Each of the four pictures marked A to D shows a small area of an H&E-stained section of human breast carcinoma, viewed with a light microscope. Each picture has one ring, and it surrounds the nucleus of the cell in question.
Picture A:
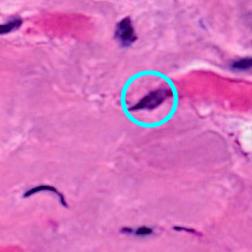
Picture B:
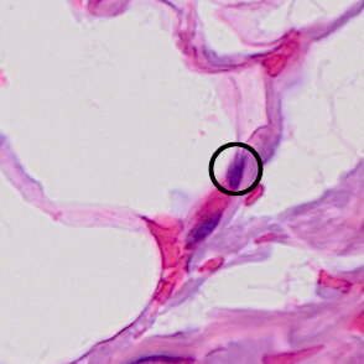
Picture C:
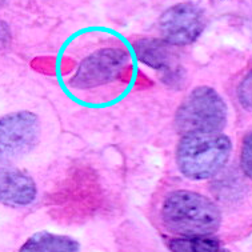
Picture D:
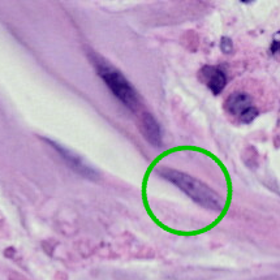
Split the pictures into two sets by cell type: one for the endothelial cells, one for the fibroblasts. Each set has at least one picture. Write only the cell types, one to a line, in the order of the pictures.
fibroblast
endothelial cell
endothelial cell
fibroblast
